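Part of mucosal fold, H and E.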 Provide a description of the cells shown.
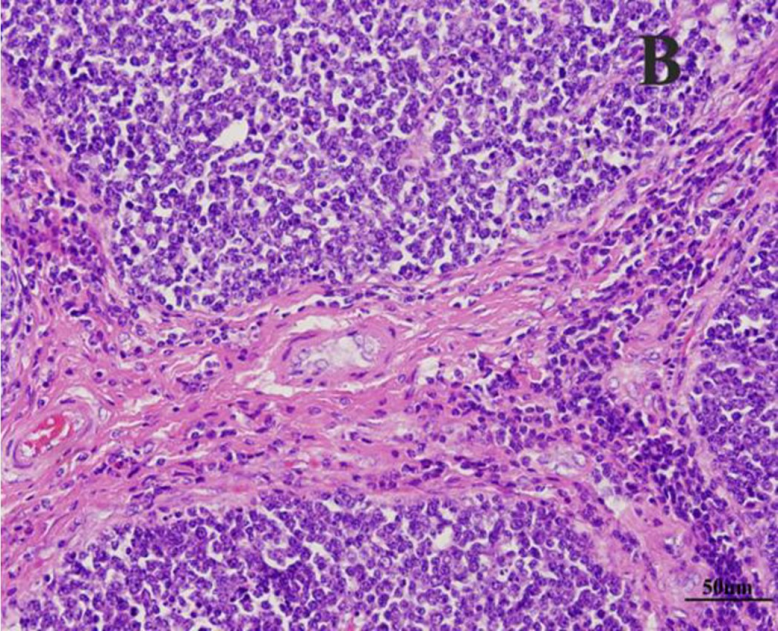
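The field shows a widened interfollicular area between lymphoid nodules, formed by a pink fibrous band of connective tissue. Above and below the band the nodules are crowded with small round cells with dark purple nuclei and scant cytoplasm, and similar dark cells also gather within and along the band. Small blood vessels run within the connective tissue, one holding red blood cells.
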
